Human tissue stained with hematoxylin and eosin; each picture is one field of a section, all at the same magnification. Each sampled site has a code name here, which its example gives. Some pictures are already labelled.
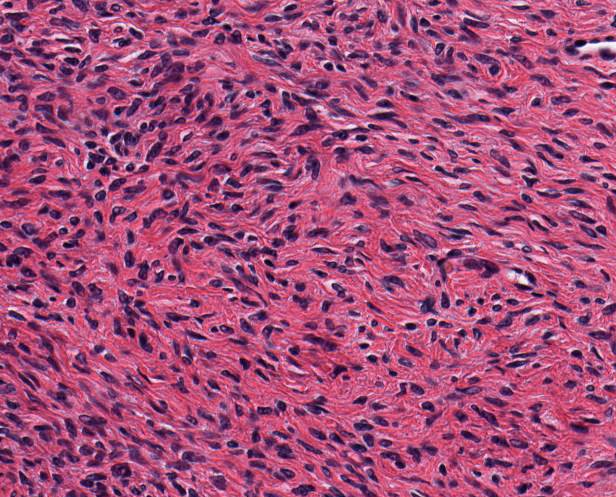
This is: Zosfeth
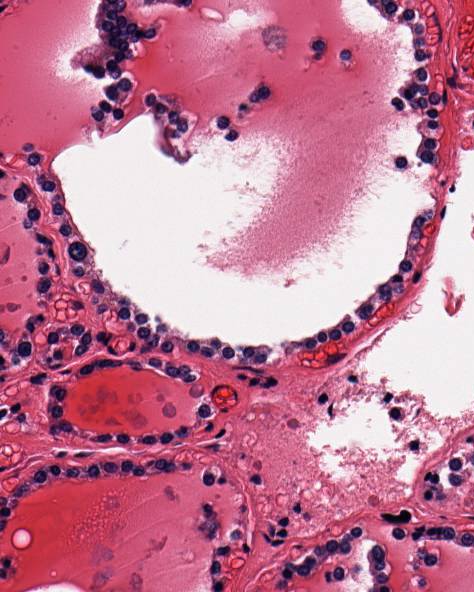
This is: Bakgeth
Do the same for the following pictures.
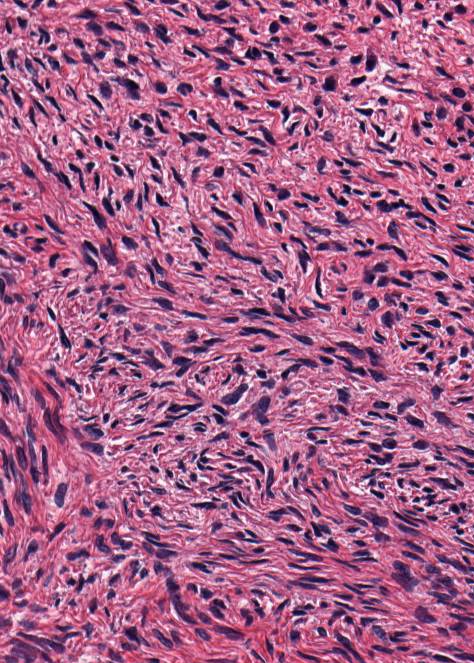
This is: Zosfeth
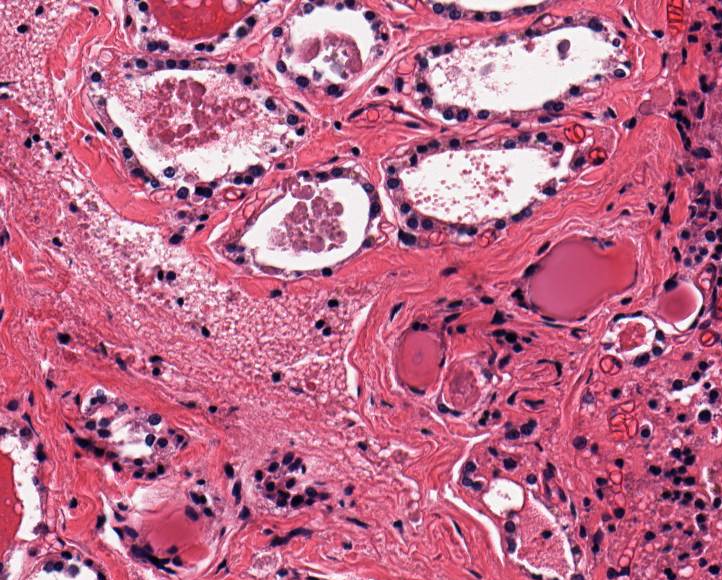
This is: Bakgeth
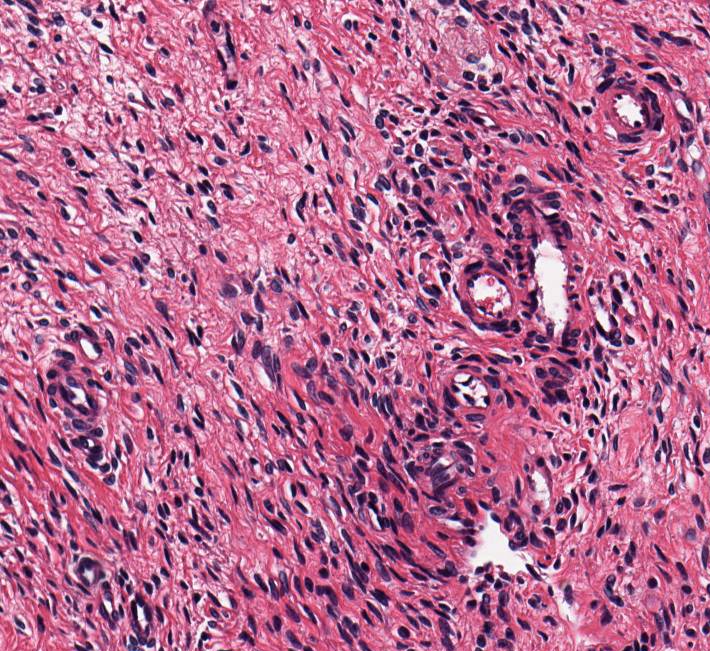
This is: Zosfeth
